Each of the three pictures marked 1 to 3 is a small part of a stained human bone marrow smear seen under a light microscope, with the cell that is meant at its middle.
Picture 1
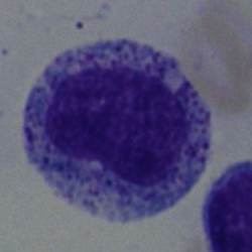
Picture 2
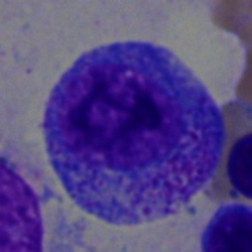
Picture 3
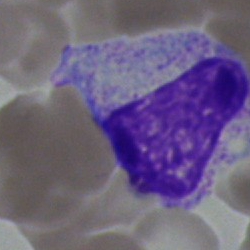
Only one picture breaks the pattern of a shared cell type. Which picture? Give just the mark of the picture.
3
